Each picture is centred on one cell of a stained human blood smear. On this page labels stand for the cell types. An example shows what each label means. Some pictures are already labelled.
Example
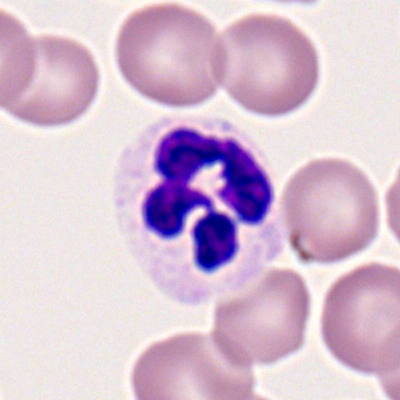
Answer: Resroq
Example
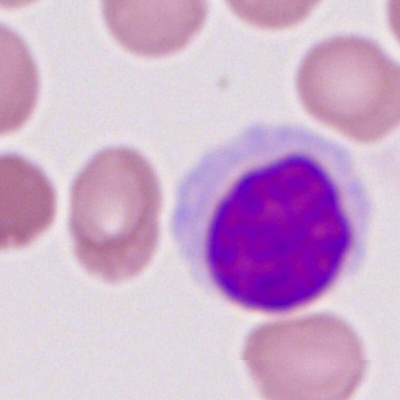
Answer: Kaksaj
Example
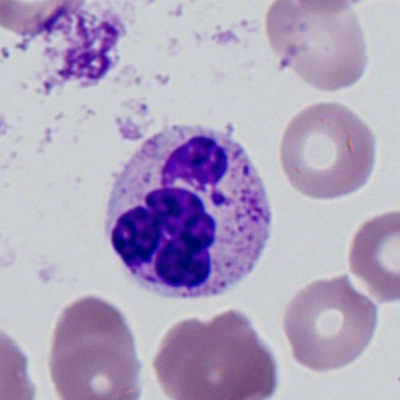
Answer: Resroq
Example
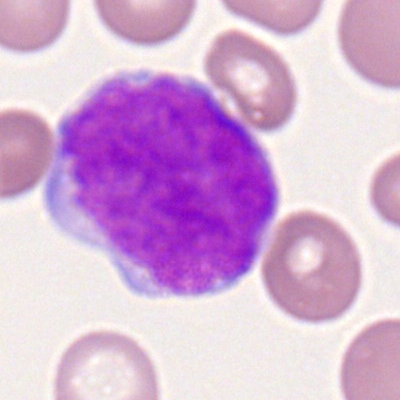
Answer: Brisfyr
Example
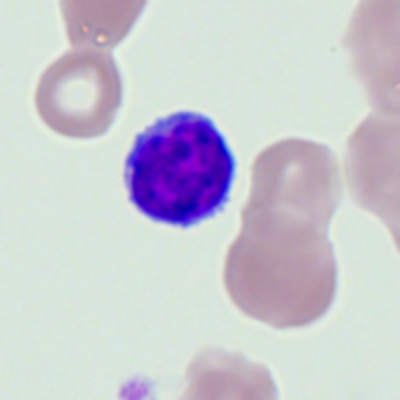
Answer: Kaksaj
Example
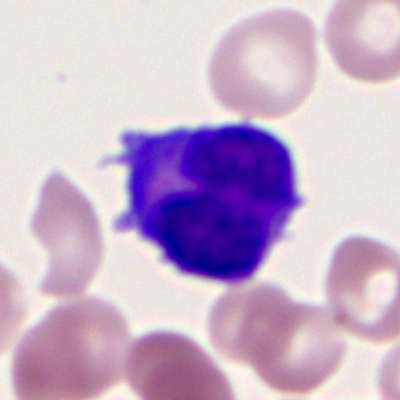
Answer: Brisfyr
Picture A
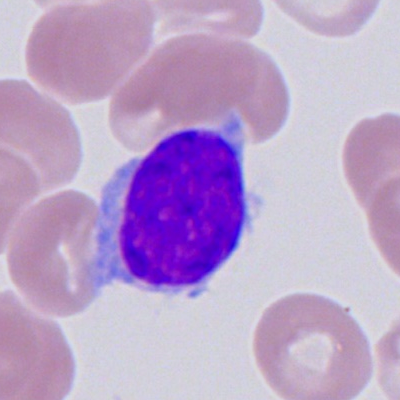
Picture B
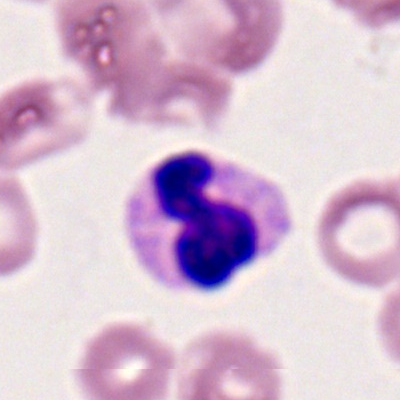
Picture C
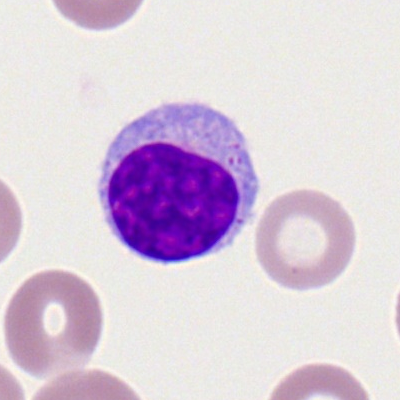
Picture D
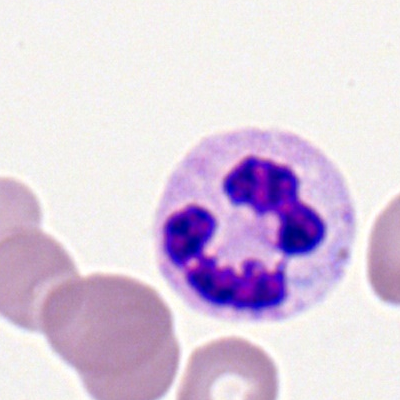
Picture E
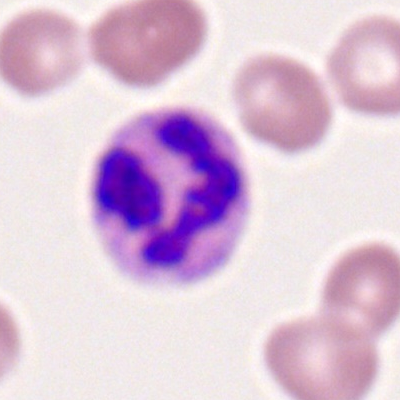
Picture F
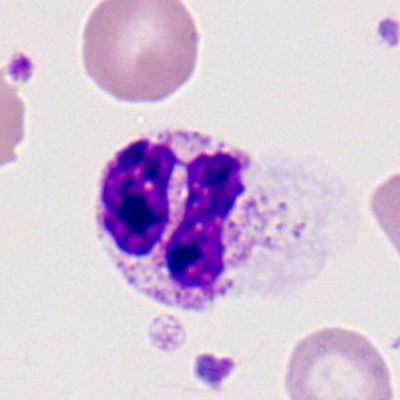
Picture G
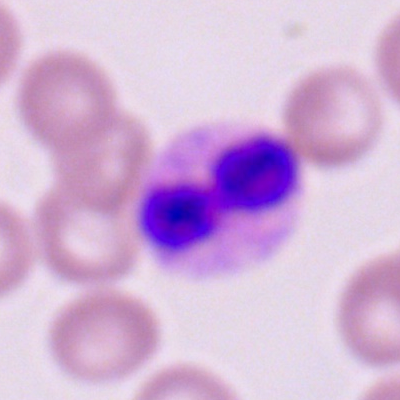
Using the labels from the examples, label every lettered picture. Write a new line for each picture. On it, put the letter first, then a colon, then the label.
A: Kaksaj
B: Resroq
C: Kaksaj
D: Resroq
E: Resroq
F: Resroq
G: Resroq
